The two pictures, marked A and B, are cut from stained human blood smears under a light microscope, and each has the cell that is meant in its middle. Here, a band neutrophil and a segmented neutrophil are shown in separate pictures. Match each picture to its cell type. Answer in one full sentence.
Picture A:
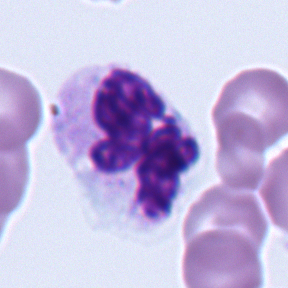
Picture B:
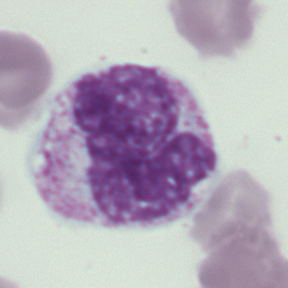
The cell in picture A is a segmented neutrophil, and the one in picture B is a band neutrophil.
